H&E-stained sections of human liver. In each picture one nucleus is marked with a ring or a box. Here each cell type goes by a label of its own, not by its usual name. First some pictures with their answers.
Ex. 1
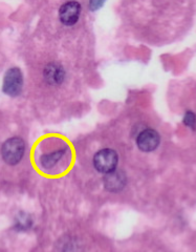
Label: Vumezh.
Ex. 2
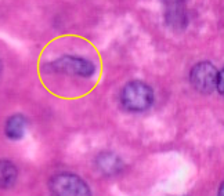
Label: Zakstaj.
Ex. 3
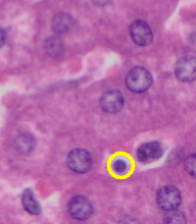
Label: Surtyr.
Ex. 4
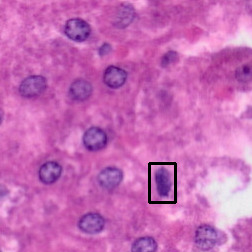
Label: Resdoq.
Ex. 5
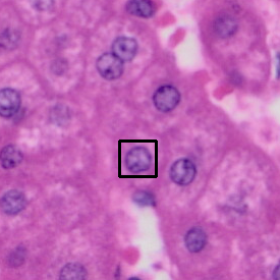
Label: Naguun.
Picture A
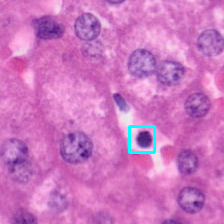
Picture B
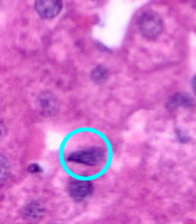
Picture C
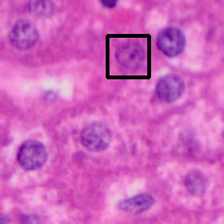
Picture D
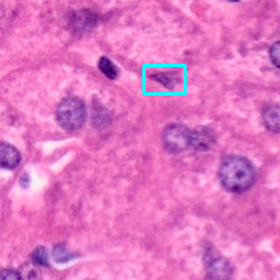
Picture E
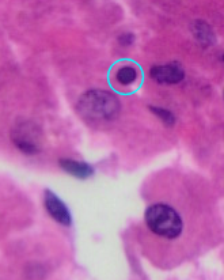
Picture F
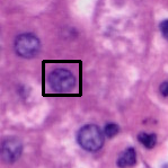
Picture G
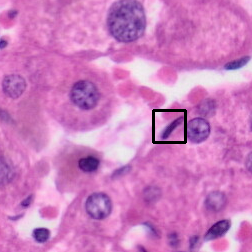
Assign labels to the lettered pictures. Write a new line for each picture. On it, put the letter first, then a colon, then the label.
A: Surtyr.
B: Resdoq.
C: Naguun.
D: Vumezh.
E: Surtyr.
F: Naguun.
G: Resdoq.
